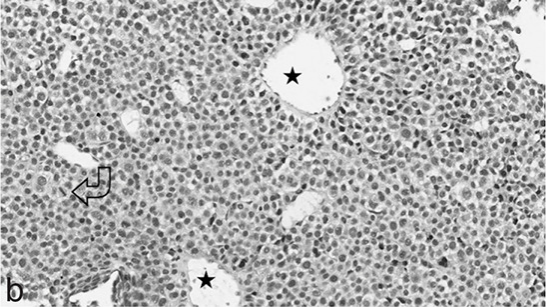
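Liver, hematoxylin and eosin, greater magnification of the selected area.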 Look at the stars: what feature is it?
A: neoformed vascular structure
